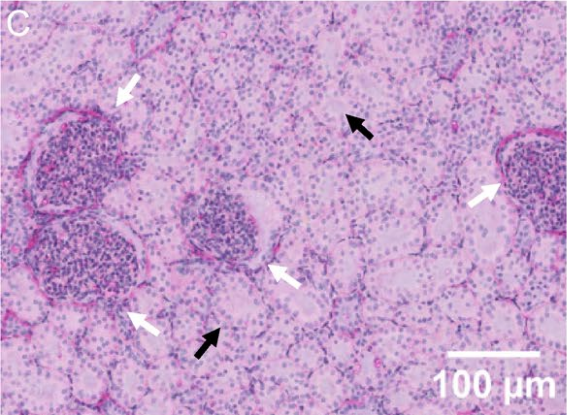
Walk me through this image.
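This is renal cortex showing several renal corpuscles among densely packed convoluted tubules. The renal corpuscles are large rounded structures filled with tightly packed cells with dark purple nuclei, each enclosed by a thin pink capsule with a narrow clear space between the cell mass and the capsule. The tubules form round to oval profiles whose walls are made of cells with pale pink cytoplasm and dark nuclei lining the edge. Between the tubules run thin pink strands of extracellular matrix with scattered small dark nuclei. The corpuscles are clearly larger and much more cellular than the tubular profiles around them.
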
